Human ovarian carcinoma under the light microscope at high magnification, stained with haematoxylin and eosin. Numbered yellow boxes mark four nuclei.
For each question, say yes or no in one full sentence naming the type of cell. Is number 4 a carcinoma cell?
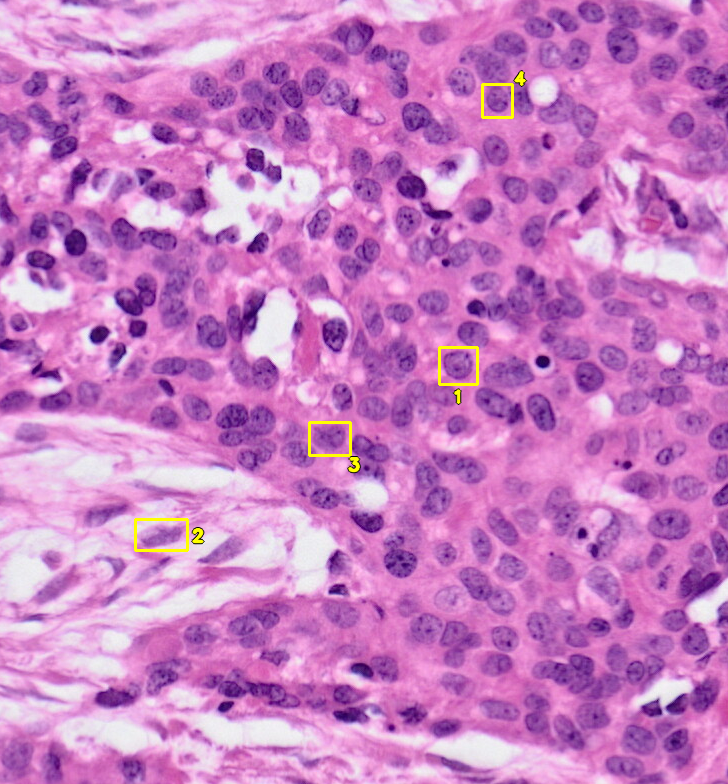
Yes, the one numbered 4 is a carcinoma cell.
